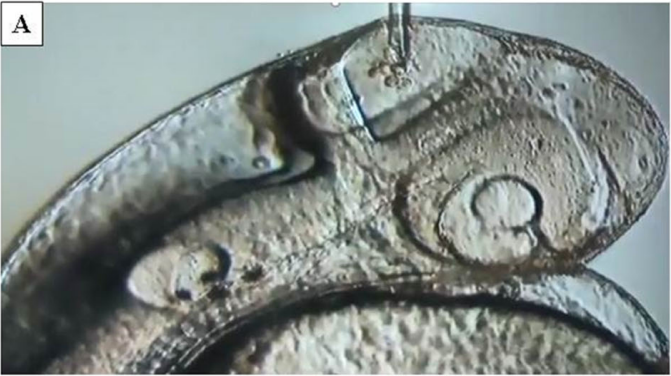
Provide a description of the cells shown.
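This is the head of a young fish embryo seen from the side without stain, curled over a large granular yolk. A thin glass needle comes down from above into the dorsal head tissue, and a few small round droplets sit just beneath its tip. The tissue of the head has a fine bumpy texture from densely packed cells, but single cells cannot be told apart.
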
